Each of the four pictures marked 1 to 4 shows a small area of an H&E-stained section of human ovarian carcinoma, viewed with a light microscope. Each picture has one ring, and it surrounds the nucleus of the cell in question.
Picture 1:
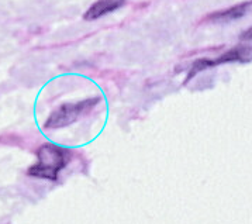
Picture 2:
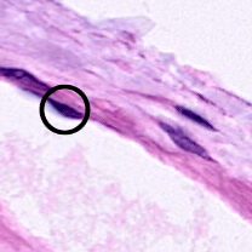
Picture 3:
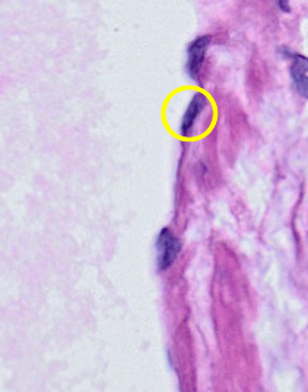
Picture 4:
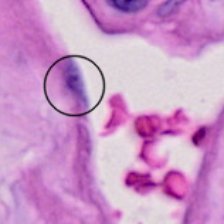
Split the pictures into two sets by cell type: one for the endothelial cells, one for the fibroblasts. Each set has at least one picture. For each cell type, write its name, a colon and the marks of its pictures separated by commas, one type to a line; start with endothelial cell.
endothelial cell: 2, 3, 4
fibroblast: 1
